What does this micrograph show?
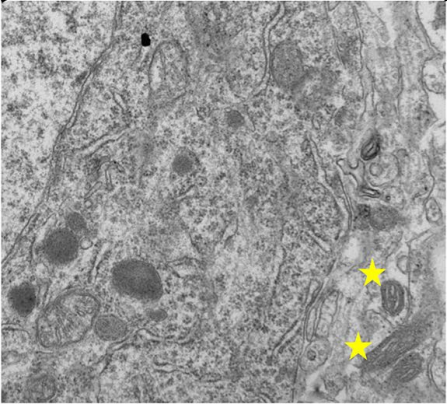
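Small oval mitochondria with fairly dense matrix and several round dense bodies lie among them. Toward the right edge, pale membrane-bound profiles of the surrounding neuropil border the cell.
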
